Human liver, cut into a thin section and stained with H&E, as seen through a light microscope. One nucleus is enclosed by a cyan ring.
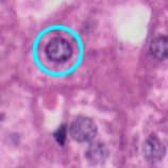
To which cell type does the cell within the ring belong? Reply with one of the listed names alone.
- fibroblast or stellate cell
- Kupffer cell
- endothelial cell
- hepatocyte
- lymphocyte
hepatocyte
